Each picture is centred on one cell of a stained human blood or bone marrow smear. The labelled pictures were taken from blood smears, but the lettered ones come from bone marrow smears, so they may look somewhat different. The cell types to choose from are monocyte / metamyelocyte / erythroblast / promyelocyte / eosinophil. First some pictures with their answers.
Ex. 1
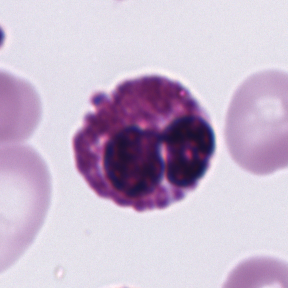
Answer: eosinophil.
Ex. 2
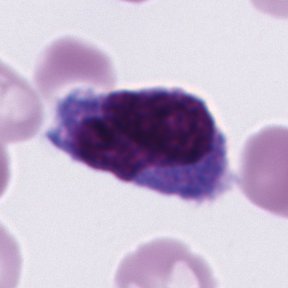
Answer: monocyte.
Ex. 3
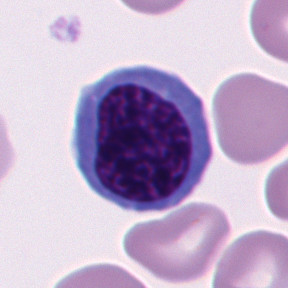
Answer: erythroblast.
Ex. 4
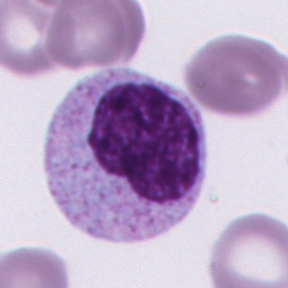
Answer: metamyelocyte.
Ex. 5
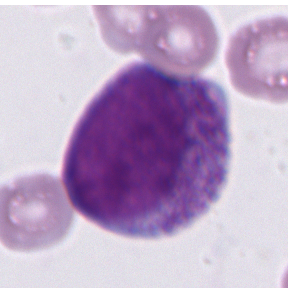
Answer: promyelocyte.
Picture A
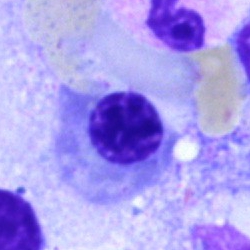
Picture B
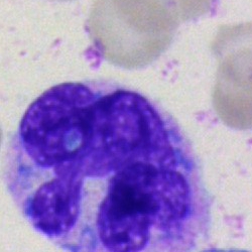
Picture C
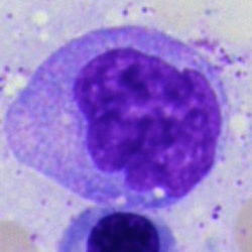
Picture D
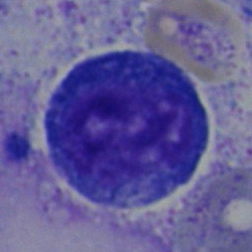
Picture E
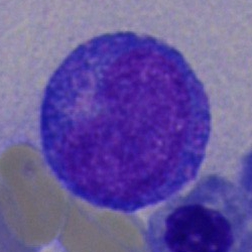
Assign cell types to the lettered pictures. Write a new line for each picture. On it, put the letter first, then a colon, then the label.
A: erythroblast.
B: monocyte.
C: monocyte.
D: promyelocyte.
E: promyelocyte.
